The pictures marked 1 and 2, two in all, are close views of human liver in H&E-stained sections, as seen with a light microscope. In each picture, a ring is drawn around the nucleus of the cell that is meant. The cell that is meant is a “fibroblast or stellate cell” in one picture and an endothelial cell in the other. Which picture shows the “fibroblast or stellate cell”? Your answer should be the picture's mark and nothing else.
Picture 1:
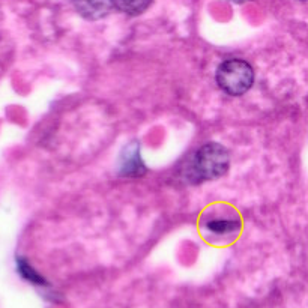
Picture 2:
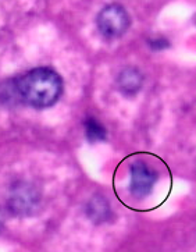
1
